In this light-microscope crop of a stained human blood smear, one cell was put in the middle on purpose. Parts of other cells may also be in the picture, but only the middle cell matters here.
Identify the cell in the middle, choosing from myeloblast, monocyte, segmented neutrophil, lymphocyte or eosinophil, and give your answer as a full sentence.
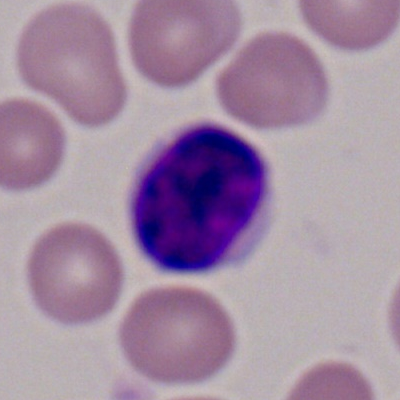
The cell the crop is centered on is a lymphocyte.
